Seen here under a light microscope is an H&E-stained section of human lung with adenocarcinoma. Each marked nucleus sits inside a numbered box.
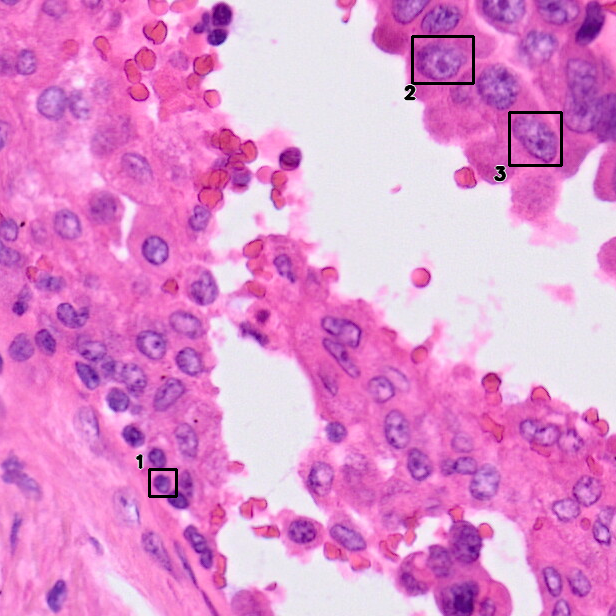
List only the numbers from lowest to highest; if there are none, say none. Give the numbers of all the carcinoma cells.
2, 3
